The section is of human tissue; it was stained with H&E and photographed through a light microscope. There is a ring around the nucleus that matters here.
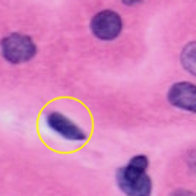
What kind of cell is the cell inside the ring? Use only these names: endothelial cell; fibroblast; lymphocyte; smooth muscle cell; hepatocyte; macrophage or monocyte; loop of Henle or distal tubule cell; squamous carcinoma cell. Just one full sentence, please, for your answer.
So far as cell type goes, the cell inside the ring is an endothelial cell.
